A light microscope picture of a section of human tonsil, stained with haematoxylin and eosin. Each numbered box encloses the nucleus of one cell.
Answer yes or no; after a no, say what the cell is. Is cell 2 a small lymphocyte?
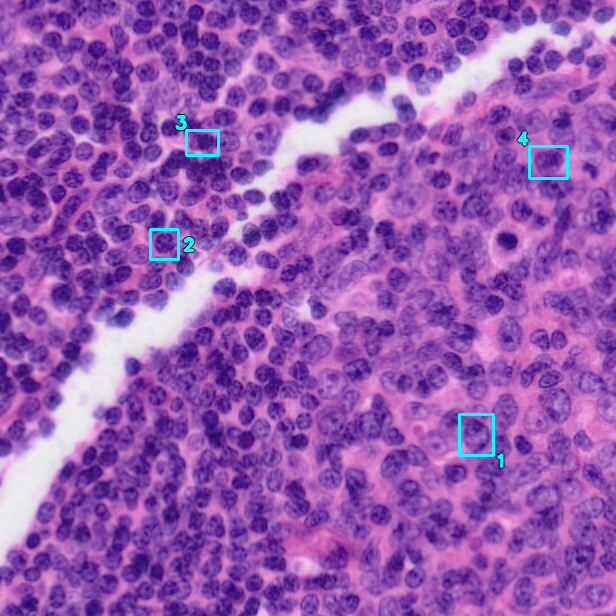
Yes.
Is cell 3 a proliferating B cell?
No, it is a small lymphocyte.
